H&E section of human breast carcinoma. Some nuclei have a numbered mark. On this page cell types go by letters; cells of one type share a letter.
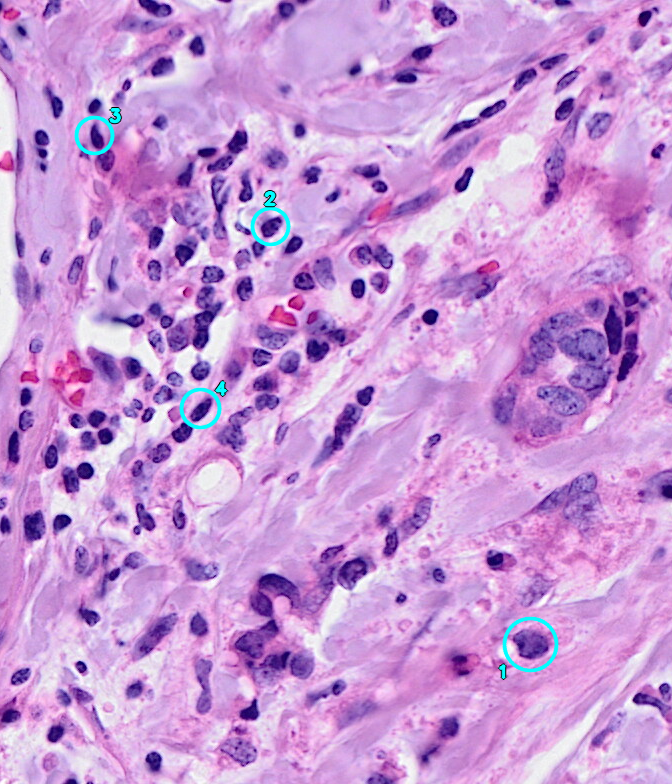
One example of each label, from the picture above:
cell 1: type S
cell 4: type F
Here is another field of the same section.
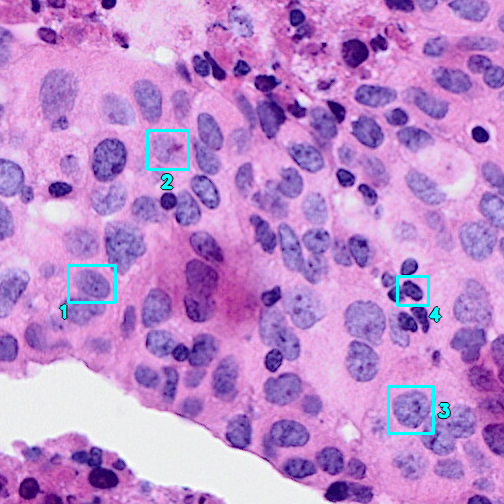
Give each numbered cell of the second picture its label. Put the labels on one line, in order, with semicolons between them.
type S; type S; type S; type F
